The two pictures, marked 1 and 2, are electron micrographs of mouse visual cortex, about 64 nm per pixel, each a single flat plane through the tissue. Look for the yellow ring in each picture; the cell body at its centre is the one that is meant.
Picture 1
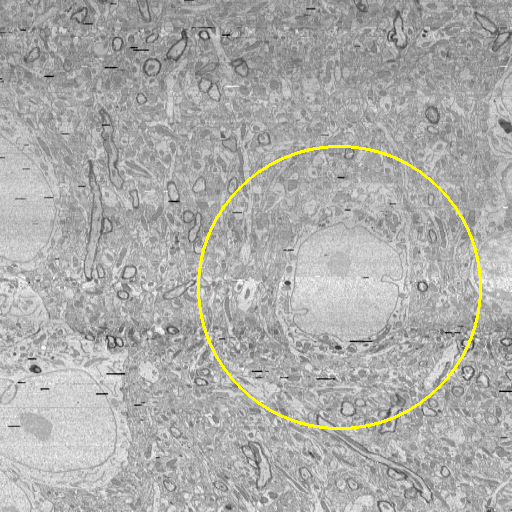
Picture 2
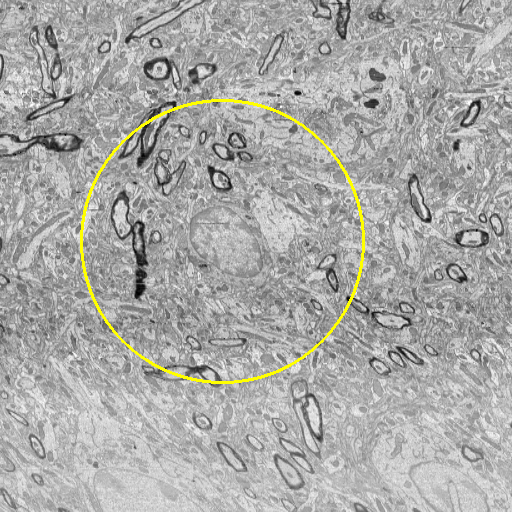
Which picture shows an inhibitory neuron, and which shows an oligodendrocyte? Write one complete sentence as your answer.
Picture 2 shows an oligodendrocyte, while picture 1 shows an inhibitory neuron.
